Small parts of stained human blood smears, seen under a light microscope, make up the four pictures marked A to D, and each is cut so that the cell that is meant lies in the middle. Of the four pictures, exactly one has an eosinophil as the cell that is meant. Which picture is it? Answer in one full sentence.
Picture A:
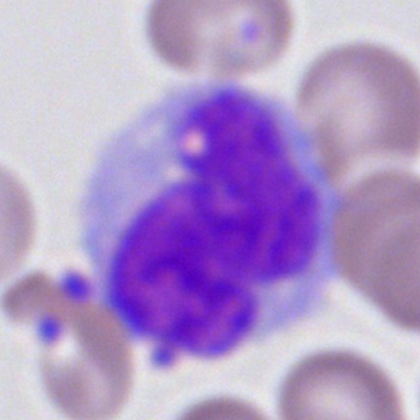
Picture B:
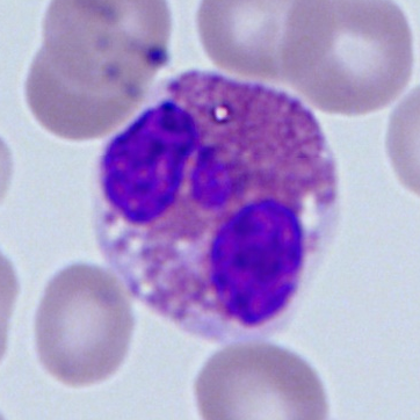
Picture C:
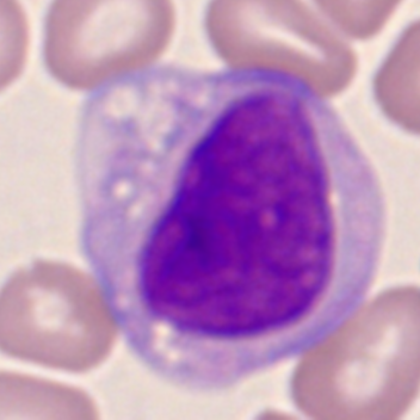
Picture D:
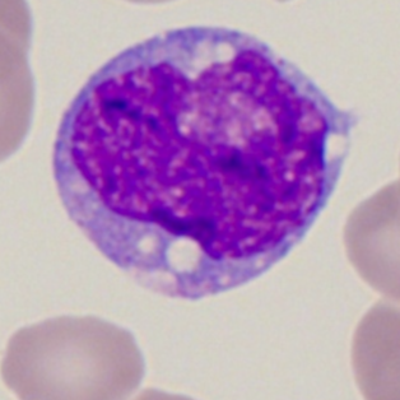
The eosinophil is the one in picture B.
